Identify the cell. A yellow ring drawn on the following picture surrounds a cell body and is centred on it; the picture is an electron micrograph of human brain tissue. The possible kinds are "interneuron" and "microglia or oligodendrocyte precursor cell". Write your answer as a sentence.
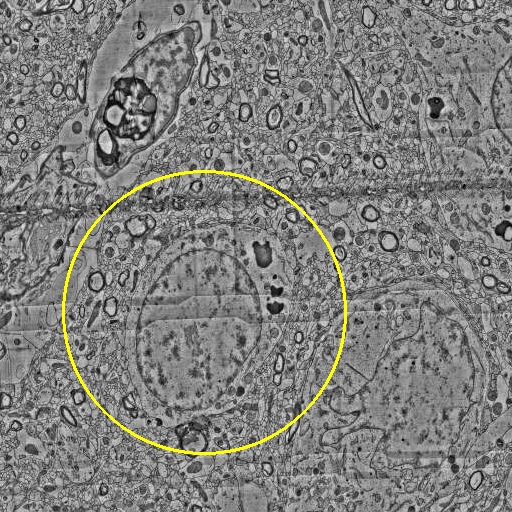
The cell identified by the ring is an interneuron.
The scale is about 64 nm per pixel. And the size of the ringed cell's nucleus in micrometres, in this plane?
About 11 by 8 micrometers, in this plane.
